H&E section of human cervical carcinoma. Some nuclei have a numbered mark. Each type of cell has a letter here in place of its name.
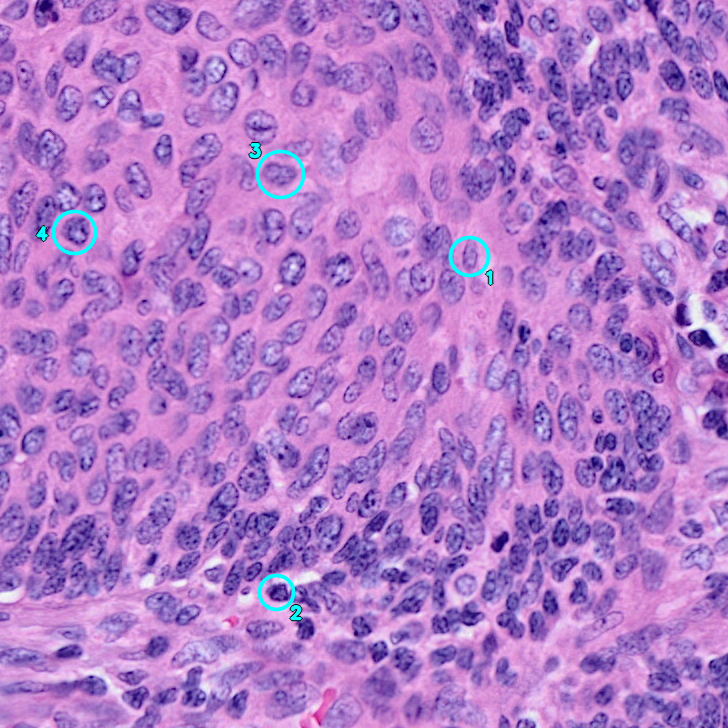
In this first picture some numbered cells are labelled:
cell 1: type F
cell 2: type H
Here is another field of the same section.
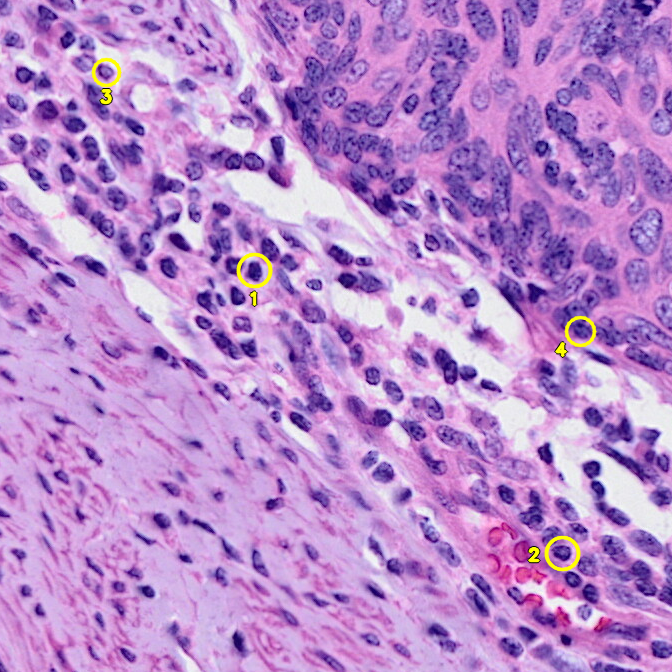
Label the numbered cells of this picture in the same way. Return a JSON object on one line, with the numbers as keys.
{"1": "type H", "2": "type H", "3": "type H", "4": "type F"}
